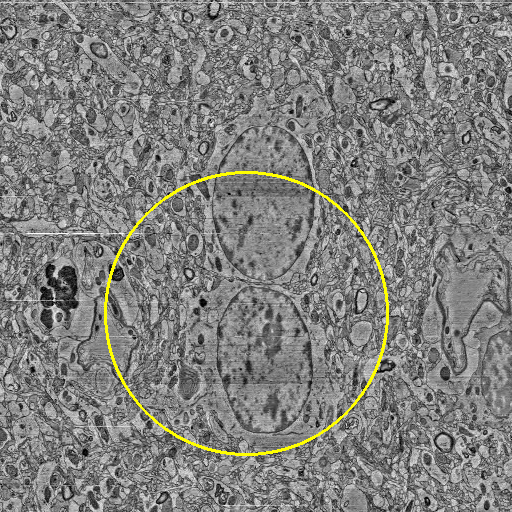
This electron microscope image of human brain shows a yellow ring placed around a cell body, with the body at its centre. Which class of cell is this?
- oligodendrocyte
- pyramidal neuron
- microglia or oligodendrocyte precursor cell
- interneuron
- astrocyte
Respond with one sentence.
The cell body at the ring's centre is an astrocyte.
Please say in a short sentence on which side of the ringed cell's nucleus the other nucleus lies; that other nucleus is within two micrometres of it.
The second nucleus is above it.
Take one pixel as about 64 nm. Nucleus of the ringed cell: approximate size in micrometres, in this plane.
The nucleus comes to approximately 10 by 6 micrometres and is clearly longer than it is wide in this plane.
